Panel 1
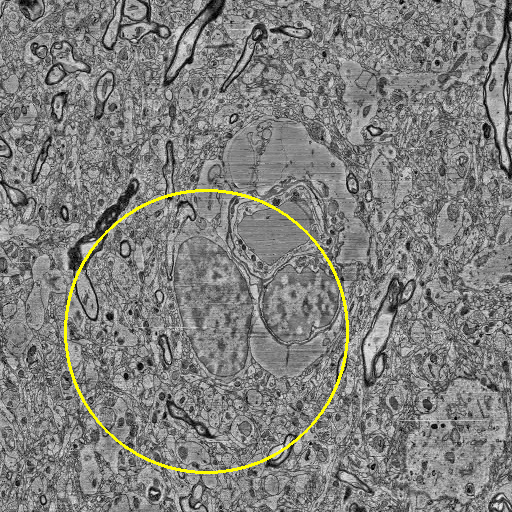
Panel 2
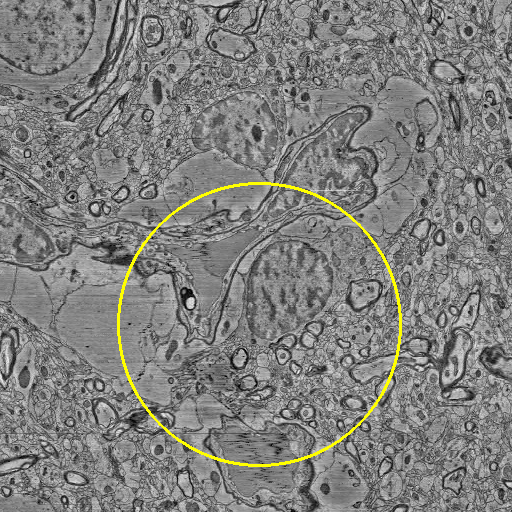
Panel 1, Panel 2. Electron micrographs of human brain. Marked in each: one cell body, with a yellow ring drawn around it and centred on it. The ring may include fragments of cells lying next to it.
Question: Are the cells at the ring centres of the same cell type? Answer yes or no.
yes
